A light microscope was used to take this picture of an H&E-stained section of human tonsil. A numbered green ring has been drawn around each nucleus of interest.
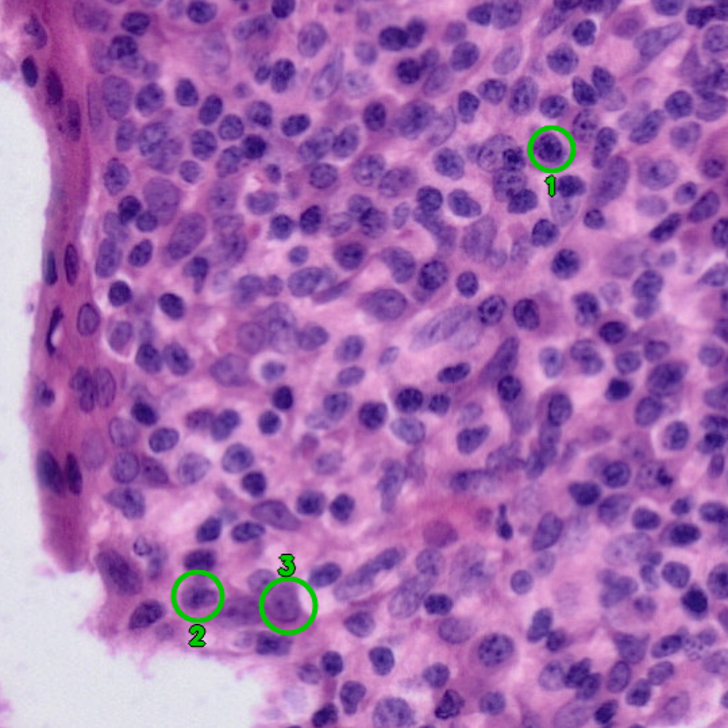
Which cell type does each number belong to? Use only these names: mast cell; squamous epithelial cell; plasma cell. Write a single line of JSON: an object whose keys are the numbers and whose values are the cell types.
{"1": "plasma cell", "2": "squamous epithelial cell", "3": "squamous epithelial cell"}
